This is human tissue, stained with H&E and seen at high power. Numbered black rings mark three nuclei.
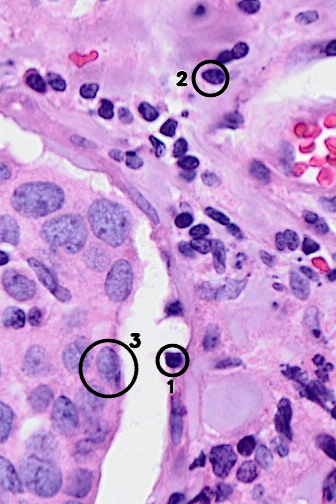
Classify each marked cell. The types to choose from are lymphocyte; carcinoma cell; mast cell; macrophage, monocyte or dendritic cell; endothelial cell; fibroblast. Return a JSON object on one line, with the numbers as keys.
{"1": "lymphocyte", "2": "lymphocyte", "3": "carcinoma cell"}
